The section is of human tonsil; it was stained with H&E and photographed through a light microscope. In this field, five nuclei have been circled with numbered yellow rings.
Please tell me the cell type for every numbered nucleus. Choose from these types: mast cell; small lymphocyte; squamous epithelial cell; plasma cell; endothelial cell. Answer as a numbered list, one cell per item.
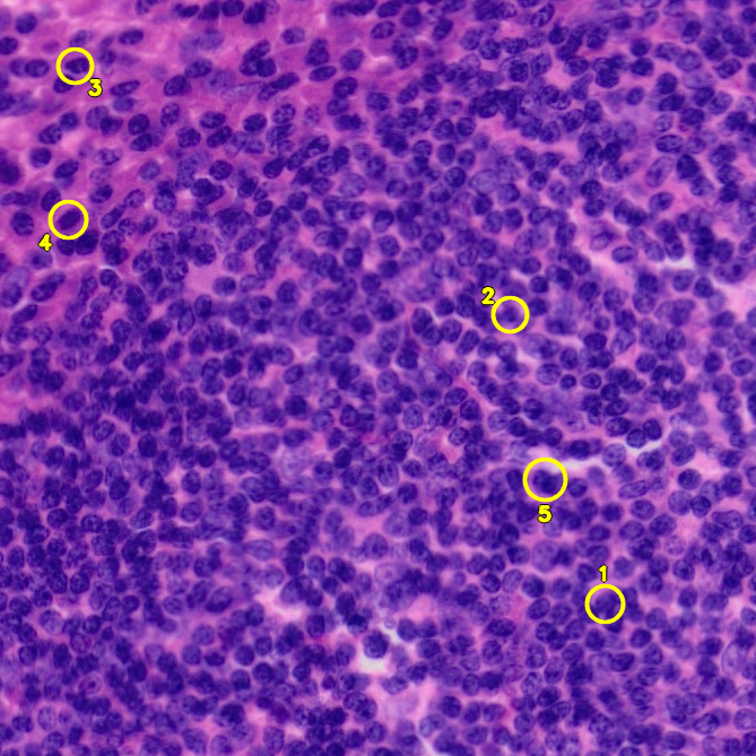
1. small lymphocyte
2. small lymphocyte
3. plasma cell
4. plasma cell
5. small lymphocyte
